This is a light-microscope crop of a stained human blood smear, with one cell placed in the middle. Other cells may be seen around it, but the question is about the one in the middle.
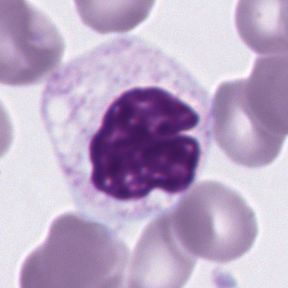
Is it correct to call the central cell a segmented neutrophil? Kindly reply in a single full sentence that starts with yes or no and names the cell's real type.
No, the central cell here is a band neutrophil; calling it a segmented neutrophil is not right.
